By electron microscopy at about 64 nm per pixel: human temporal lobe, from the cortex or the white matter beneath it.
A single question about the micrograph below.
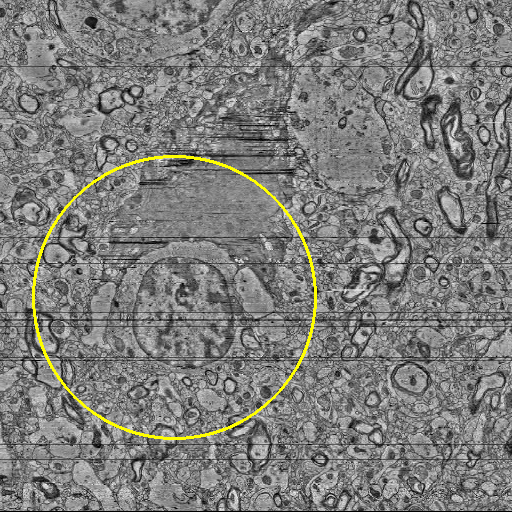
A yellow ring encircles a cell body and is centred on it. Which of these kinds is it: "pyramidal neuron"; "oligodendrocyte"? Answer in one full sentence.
The cell body at the centre of the yellow ring belongs to an oligodendrocyte.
